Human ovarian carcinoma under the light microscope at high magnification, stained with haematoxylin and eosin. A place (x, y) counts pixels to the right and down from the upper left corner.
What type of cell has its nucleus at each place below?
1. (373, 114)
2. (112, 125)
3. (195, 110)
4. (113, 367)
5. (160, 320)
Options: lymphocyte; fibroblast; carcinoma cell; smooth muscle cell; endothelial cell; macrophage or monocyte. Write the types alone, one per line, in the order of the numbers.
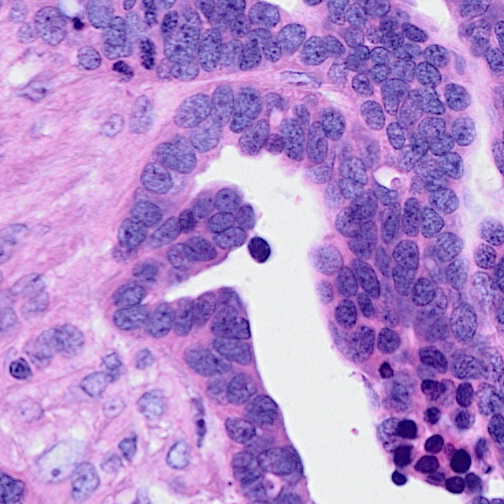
carcinoma cell
fibroblast
carcinoma cell
fibroblast
carcinoma cell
